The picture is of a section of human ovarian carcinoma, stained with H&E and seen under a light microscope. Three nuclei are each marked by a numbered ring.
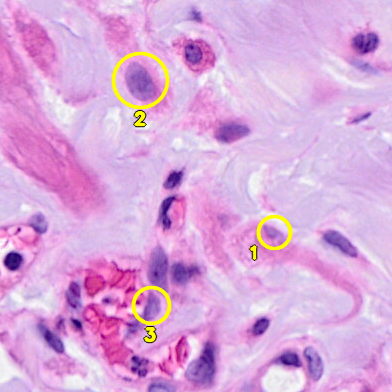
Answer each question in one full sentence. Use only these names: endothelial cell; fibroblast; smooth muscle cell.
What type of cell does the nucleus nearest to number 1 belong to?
The nearest nucleus to number 1 belongs to a fibroblast.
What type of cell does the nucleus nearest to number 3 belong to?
The nearest nucleus to number 3 belongs to an endothelial cell.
